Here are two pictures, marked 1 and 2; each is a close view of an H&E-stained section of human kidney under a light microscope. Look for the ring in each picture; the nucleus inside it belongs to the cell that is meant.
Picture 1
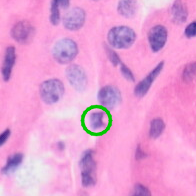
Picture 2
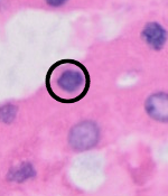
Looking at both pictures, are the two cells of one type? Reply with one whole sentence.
Yes, they are the same type: both are “loop of Henle or distal tubule cells”.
